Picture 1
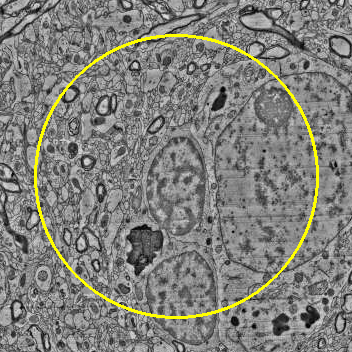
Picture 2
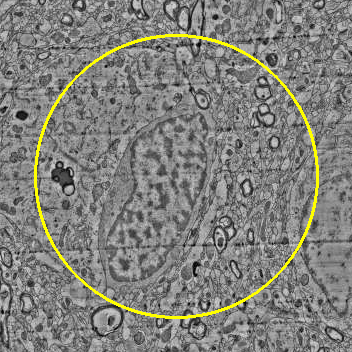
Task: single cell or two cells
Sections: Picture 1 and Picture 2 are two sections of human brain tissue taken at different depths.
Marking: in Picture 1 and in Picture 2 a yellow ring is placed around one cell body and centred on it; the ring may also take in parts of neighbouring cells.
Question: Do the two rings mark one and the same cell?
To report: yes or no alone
no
